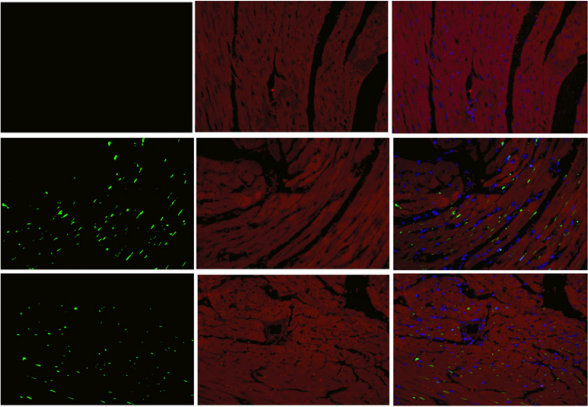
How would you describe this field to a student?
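This is heart muscle in which red-stained elongated muscle fibres run in roughly parallel bundles, separated by dark clefts. Small blue nuclei lie scattered along and between the fibres. In the lower two rows, many small elongated green nuclei are scattered through the tissue, and some coincide with the blue nuclei in the merged images. The top row shows no green nuclei.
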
